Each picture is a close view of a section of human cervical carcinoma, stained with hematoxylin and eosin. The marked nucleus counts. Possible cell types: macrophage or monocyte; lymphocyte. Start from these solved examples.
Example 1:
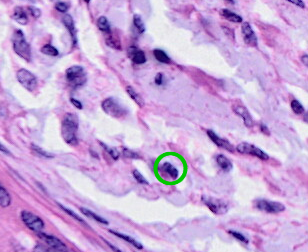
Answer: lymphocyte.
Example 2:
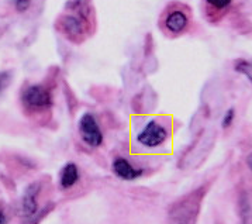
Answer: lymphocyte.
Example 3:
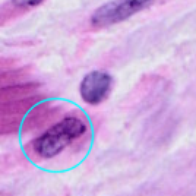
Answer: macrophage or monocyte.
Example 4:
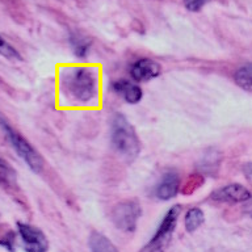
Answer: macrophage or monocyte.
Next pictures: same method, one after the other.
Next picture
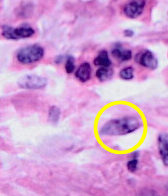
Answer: macrophage or monocyte.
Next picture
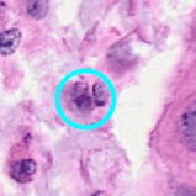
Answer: macrophage or monocyte.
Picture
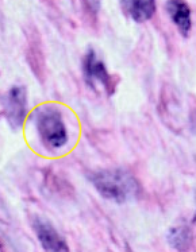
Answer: macrophage or monocyte.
